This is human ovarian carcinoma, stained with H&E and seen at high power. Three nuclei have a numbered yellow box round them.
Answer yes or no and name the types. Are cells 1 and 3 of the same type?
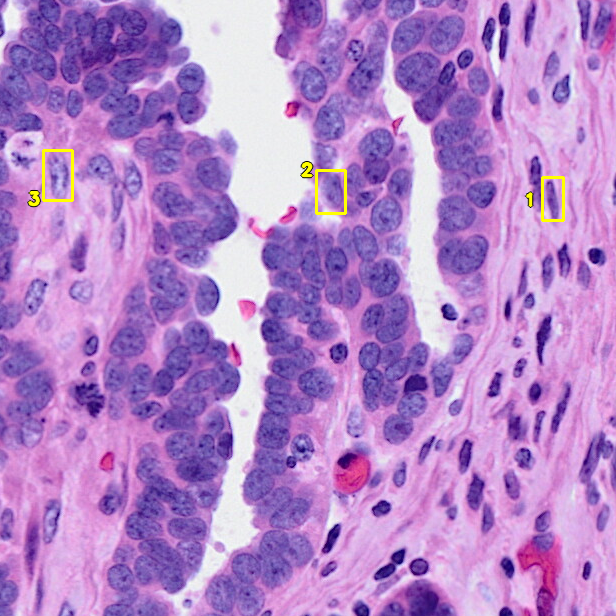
Yes, both are fibroblasts.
